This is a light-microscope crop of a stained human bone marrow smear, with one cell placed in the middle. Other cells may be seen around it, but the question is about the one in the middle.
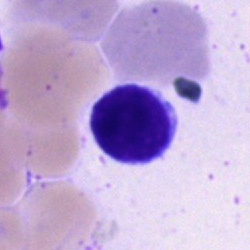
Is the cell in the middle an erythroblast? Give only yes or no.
no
